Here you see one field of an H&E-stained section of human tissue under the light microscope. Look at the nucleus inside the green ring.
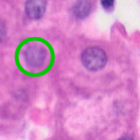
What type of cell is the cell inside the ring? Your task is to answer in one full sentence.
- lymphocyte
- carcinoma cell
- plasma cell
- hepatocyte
In this field of tissue, the cell inside the ring is a hepatocyte.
